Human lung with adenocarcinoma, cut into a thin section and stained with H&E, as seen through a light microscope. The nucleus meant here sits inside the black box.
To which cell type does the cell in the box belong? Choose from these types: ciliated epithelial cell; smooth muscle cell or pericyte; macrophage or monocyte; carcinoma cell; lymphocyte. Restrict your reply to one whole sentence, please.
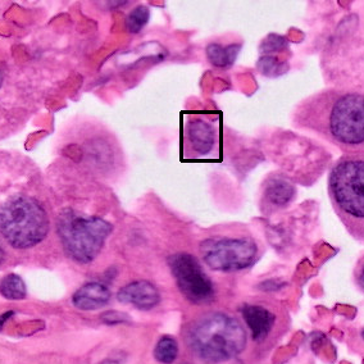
In this field of tissue, the cell in the box is a macrophage or monocyte.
